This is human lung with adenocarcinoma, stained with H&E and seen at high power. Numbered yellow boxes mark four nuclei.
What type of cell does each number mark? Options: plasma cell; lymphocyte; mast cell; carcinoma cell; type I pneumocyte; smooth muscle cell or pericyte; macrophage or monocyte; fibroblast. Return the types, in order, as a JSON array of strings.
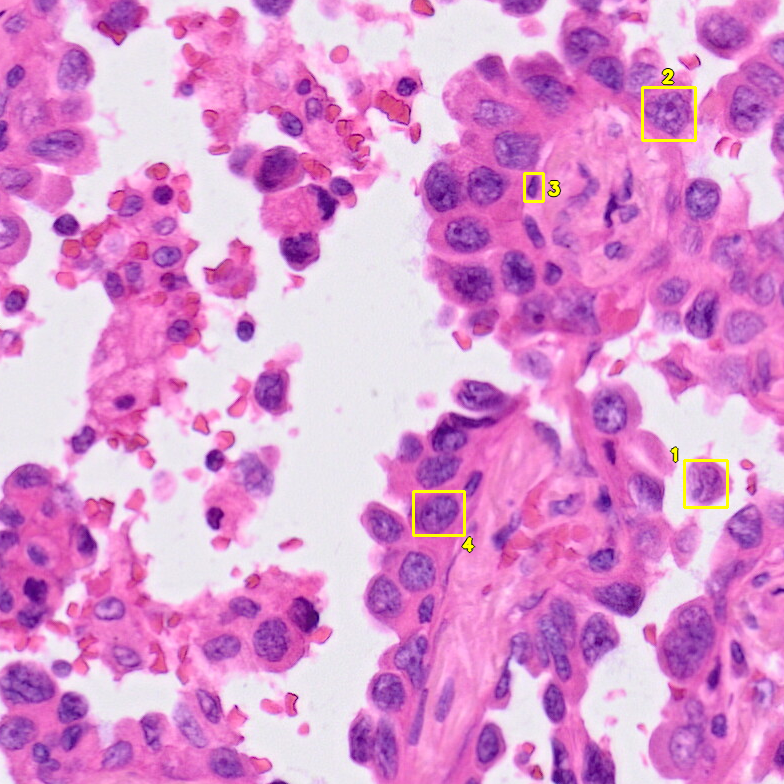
["carcinoma cell", "carcinoma cell", "lymphocyte", "carcinoma cell"]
